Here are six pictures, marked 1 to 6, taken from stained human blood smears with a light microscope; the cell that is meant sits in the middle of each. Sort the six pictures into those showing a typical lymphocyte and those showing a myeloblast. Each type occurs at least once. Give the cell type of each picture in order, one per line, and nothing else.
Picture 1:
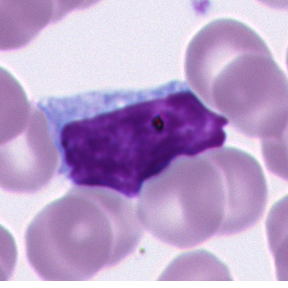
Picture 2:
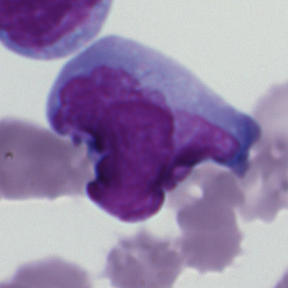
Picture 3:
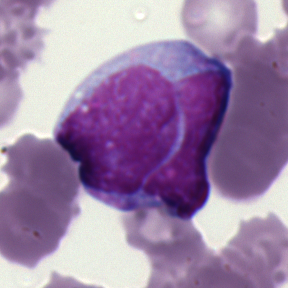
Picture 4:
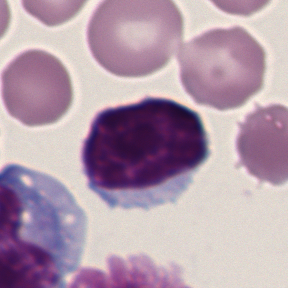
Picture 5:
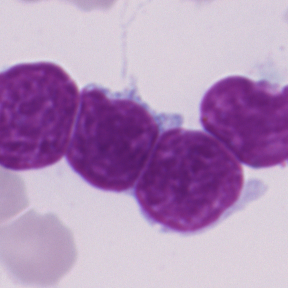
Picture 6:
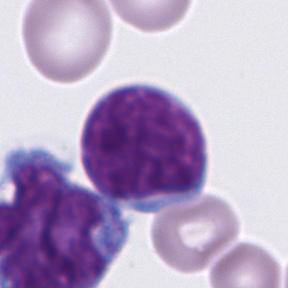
typical lymphocyte
myeloblast
myeloblast
typical lymphocyte
myeloblast
myeloblast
